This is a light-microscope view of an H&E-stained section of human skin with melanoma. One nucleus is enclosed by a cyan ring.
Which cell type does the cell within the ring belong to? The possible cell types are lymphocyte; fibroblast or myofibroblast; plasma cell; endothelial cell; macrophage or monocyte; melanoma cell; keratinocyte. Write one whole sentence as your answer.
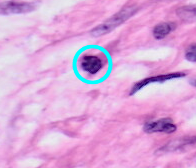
In this section of tissue, the cell within the ring is a plasma cell.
